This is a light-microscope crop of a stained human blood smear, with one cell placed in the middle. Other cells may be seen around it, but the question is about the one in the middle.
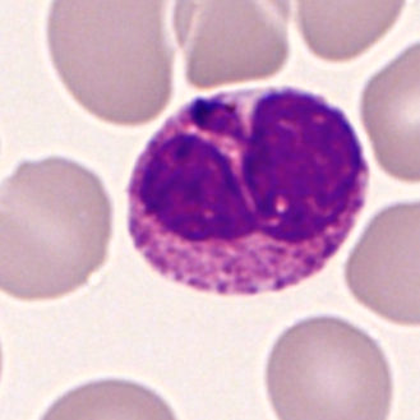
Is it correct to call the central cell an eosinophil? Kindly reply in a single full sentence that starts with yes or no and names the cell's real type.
Yes, the cell centred in this crop is an eosinophil.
